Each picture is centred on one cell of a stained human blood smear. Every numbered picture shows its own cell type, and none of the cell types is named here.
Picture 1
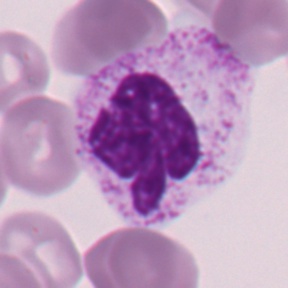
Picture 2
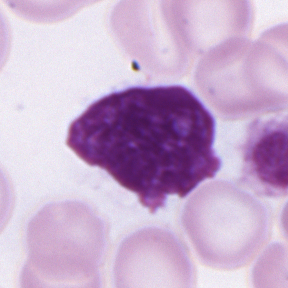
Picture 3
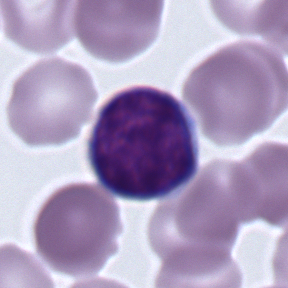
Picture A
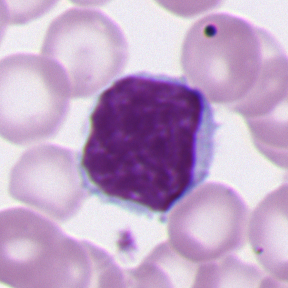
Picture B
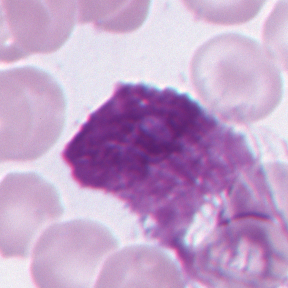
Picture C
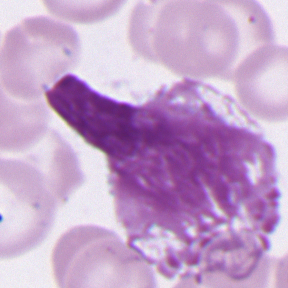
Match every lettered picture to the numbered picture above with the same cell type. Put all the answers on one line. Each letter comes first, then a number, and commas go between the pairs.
A 3, B 2, C 2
